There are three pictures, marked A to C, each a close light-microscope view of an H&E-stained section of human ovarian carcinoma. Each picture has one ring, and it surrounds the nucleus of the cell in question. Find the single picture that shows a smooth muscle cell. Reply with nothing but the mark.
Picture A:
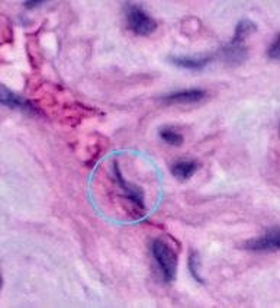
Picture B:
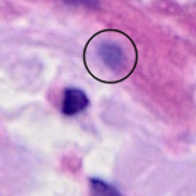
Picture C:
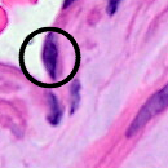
B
